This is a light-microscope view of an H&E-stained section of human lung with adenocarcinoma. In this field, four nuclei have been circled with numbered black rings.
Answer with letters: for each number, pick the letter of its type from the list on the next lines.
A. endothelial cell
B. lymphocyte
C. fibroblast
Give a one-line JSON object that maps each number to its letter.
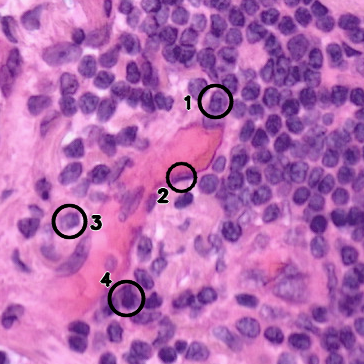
{"1": "B", "2": "A", "3": "B", "4": "B"}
